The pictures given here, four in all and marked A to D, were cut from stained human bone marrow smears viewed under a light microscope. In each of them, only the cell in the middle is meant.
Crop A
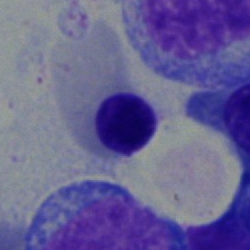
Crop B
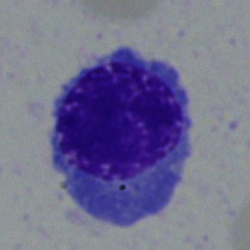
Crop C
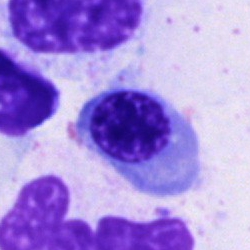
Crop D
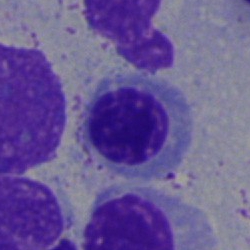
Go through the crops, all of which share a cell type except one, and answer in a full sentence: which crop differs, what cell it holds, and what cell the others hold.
Crop B is a plasma cell, the one exception to the erythroblasts of the other crops.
